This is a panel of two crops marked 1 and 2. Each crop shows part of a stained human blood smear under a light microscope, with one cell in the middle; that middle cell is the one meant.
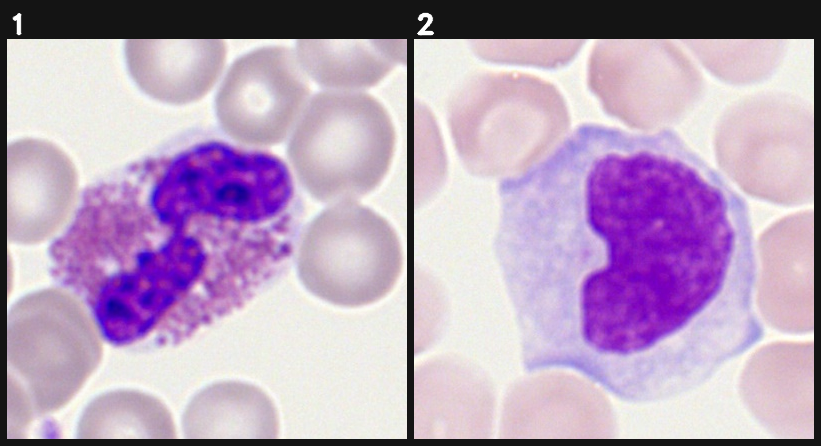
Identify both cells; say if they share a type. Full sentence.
No, record crop 1 as an eosinophil and crop 2 as a monocyte.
